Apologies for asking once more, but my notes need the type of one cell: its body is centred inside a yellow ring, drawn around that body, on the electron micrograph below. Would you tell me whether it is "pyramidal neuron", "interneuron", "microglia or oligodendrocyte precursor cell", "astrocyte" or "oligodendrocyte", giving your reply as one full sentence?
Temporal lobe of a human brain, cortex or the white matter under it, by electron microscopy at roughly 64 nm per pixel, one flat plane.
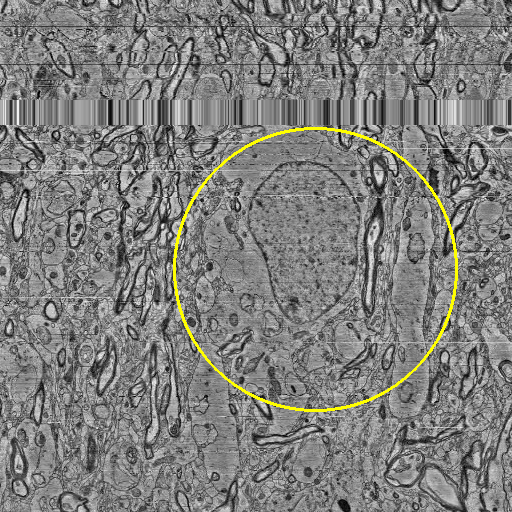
The cell that the yellow ring is centred on is an astrocyte in this micrograph.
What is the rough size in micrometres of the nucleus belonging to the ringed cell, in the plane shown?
In this plane, roughly 10 by 7 micrometres.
